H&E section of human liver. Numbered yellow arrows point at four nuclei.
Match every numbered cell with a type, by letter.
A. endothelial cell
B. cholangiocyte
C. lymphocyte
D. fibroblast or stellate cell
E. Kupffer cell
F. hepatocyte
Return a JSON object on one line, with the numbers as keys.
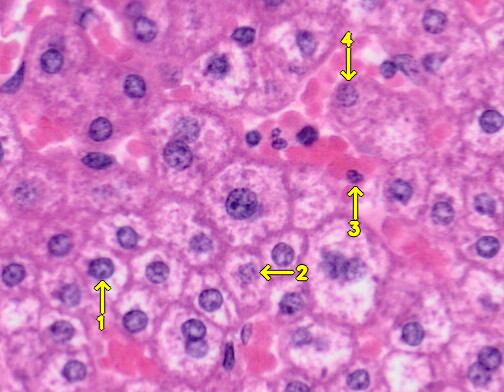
{"1": "F", "2": "F", "3": "C", "4": "F"}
